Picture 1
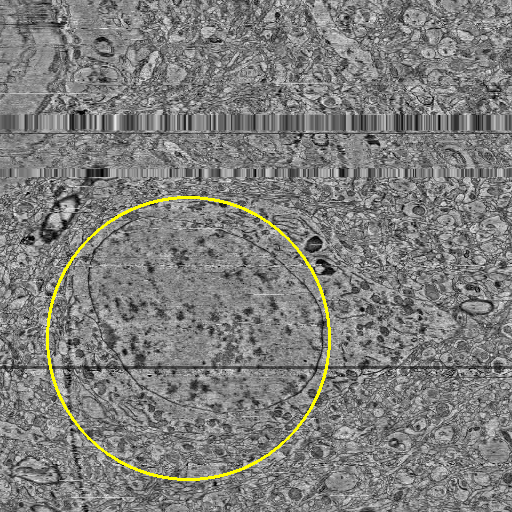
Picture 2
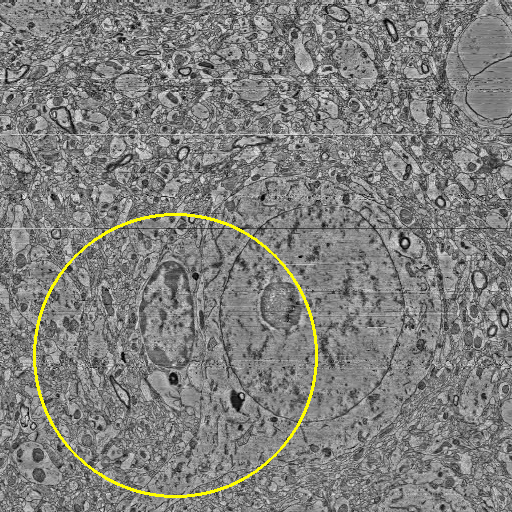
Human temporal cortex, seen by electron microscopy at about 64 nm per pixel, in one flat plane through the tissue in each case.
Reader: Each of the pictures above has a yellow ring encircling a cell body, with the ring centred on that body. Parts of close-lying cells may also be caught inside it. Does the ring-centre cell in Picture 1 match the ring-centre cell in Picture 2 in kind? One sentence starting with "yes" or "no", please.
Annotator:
No, Picture 1 and Picture 2 show ring-centre cells of two kinds.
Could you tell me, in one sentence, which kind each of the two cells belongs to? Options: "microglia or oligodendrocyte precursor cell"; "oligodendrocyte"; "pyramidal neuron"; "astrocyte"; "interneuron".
At the centre of the first ring sits a pyramidal neuron, and at the centre of the second sits a microglial cell or oligodendrocyte precursor cell.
